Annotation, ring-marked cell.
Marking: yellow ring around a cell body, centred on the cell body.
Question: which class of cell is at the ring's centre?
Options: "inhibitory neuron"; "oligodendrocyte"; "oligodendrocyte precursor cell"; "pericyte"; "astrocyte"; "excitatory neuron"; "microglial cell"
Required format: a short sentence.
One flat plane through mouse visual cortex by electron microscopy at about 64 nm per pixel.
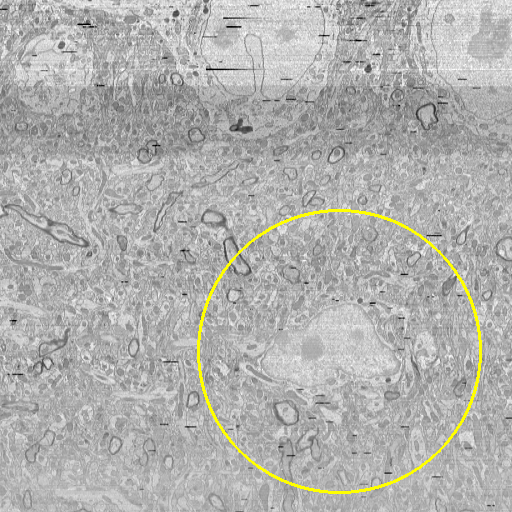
At the ring's centre is an oligodendrocyte precursor cell.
